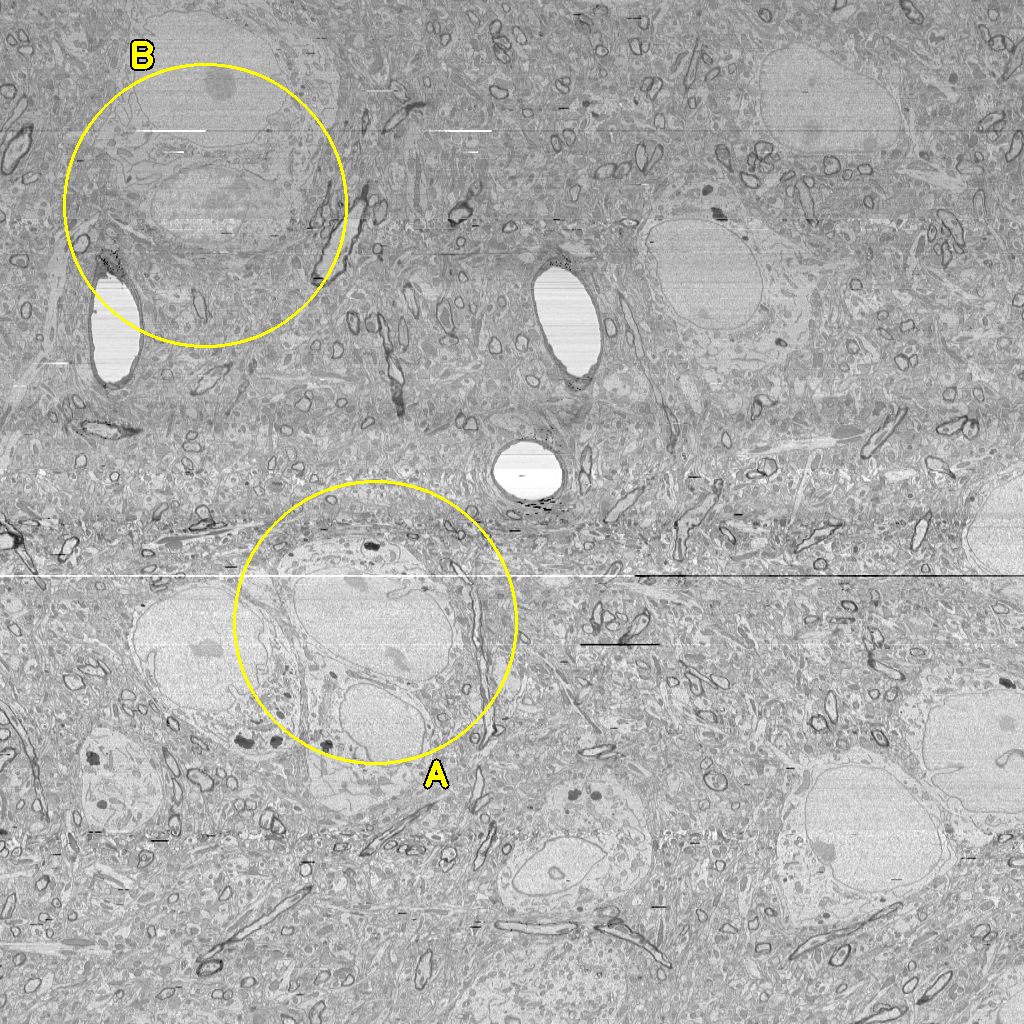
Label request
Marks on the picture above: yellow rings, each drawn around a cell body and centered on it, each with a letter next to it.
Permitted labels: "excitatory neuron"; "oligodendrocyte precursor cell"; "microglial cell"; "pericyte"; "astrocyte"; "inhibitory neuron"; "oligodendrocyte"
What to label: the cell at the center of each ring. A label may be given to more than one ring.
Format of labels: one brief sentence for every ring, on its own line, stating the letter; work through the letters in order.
The cell at the center of ring A is an excitatory neuron.
The cell at the center of ring B is an oligodendrocyte.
